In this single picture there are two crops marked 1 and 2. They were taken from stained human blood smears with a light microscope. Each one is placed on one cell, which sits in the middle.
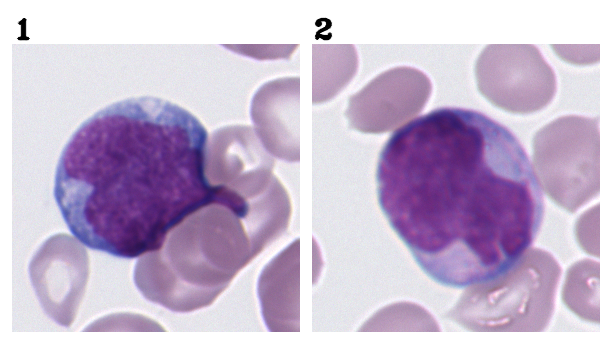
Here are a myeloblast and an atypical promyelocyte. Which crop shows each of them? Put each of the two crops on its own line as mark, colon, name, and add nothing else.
1: myeloblast
2: atypical promyelocyte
